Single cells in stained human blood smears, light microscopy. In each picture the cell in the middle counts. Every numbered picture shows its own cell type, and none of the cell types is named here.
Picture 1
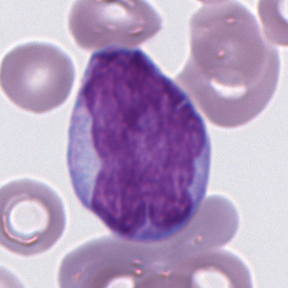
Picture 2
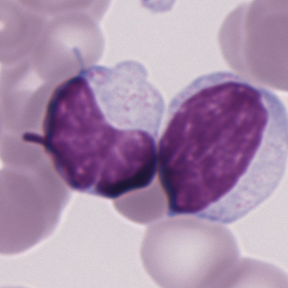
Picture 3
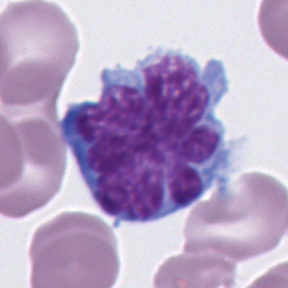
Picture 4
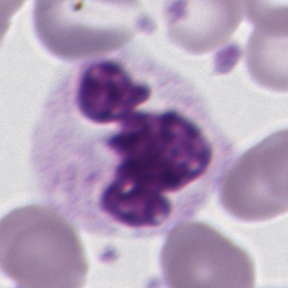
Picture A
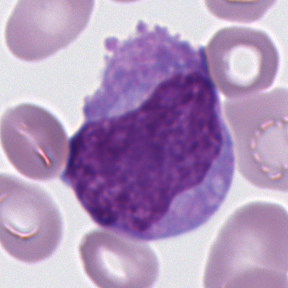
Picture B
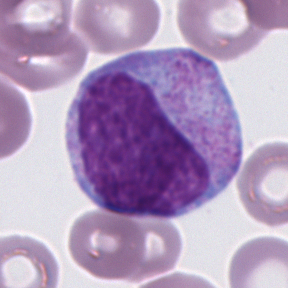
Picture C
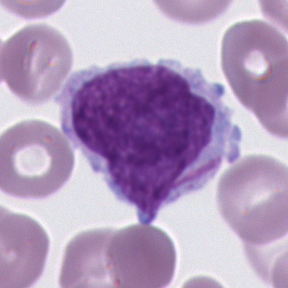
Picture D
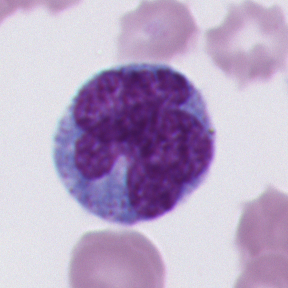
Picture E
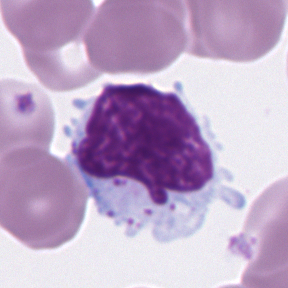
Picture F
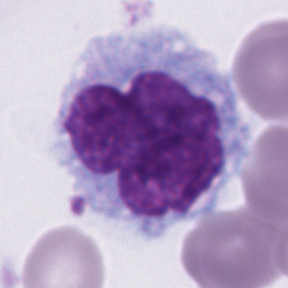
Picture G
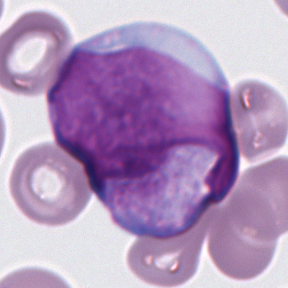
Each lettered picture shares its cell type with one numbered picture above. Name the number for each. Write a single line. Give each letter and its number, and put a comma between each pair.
A 1, B 1, C 1, D 3, E 2, F 3, G 1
